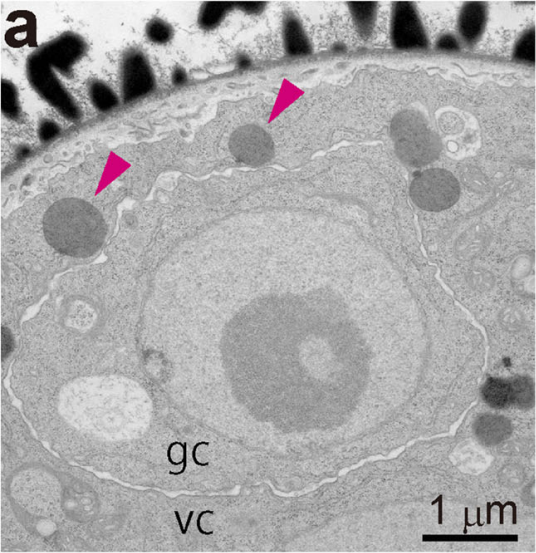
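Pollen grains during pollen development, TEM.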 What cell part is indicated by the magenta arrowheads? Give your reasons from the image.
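Lipid bodies. The arrowheads point to round, evenly grey bodies. The bodies lie in the cytoplasm near the cell with the large nucleus.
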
